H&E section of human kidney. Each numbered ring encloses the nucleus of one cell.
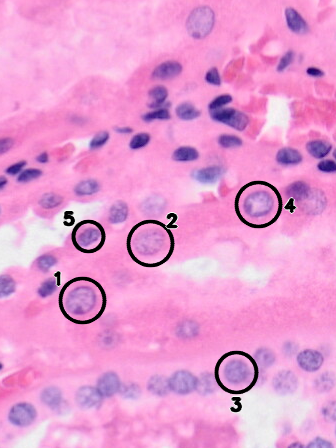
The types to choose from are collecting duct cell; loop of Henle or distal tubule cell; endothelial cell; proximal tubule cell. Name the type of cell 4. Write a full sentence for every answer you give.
That cell with number 4 is a proximal tubule cell.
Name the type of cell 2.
The one labeled 2 is a proximal tubule cell, to put it simply.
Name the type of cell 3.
The cell whose nucleus carries the number 3 is a collecting duct cell.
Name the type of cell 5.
Cell 5 in the field of view is a loop of Henle or distal tubule cell.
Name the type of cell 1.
As for number 1, that cell is a proximal tubule cell.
